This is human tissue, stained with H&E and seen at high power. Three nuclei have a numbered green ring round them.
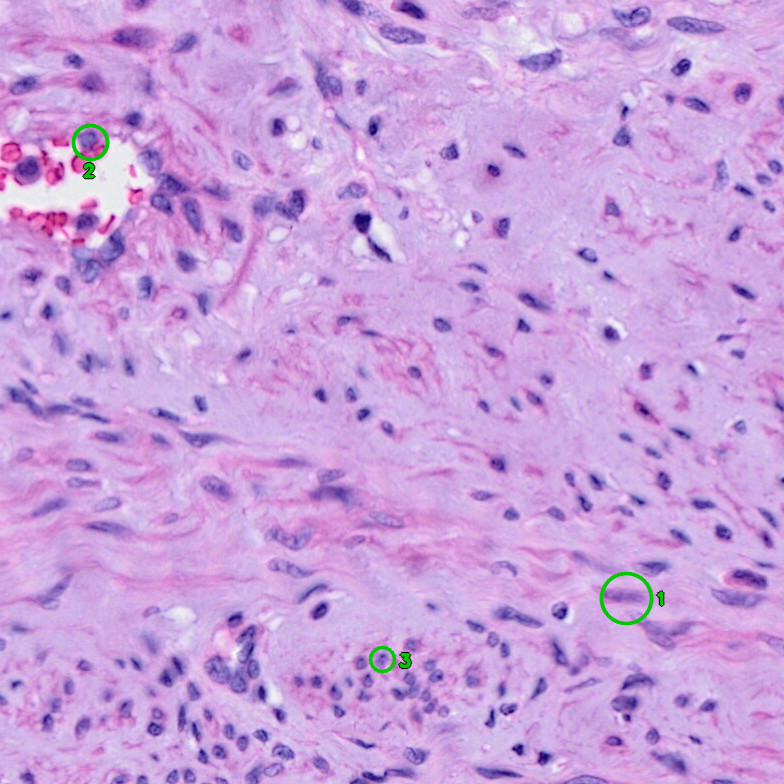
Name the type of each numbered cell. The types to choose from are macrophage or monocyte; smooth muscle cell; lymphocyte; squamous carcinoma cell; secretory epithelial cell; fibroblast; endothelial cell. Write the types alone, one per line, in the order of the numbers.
smooth muscle cell
endothelial cell
smooth muscle cell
